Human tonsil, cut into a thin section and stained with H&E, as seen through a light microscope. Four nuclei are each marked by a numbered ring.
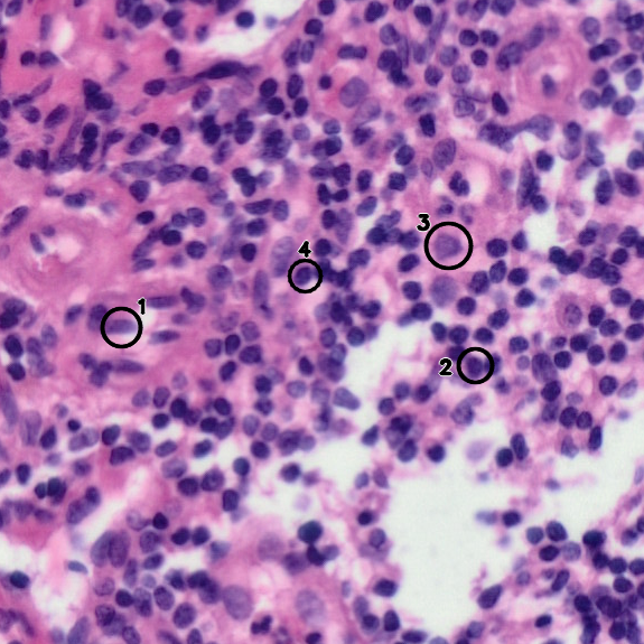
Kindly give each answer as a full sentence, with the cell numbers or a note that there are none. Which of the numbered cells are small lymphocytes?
Whereas cell 2 is a small lymphocyte, the other numbered cells are not.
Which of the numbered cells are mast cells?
Concerning the numbered cells, no mast cells are among them.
